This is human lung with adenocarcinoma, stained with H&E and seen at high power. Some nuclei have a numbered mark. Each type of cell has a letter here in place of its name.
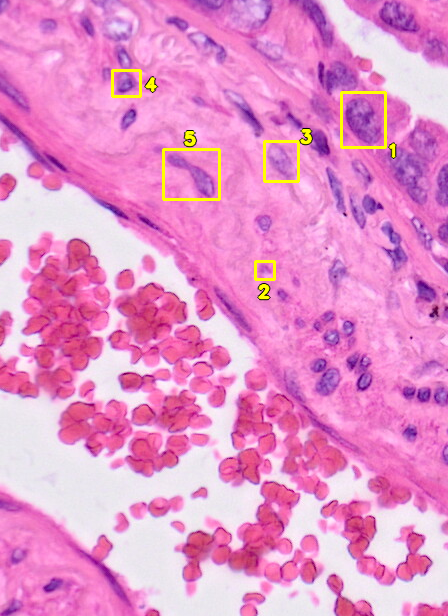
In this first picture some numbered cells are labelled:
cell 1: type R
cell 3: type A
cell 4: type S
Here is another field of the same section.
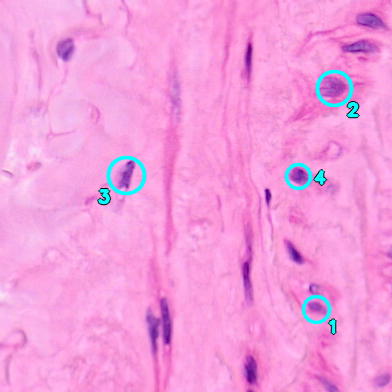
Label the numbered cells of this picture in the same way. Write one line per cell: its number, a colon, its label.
1: type S
2: type S
3: type A
4: type S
